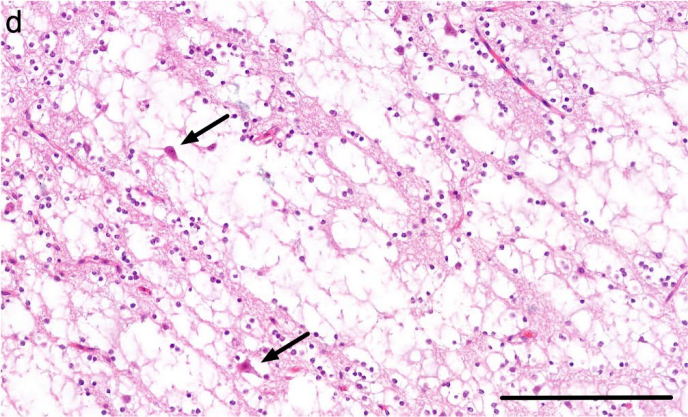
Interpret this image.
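This is a glioneuronal tumour element made of small oligodendrocyte-like cells lined up along thin strands of fibrillary material, with pale myxoid material filling the spaces between. Look at the many small round dark nuclei with scant cytoplasm, arranged in rows along faint pink fibres running diagonally. Between these rows the tissue is pale, loose and bubbly, almost empty. Floating within this pale material are occasional larger cells with more pink-purple cytoplasm, the neurons, which stand out against the small round nuclei. A few thin vessels run alongside the strands.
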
